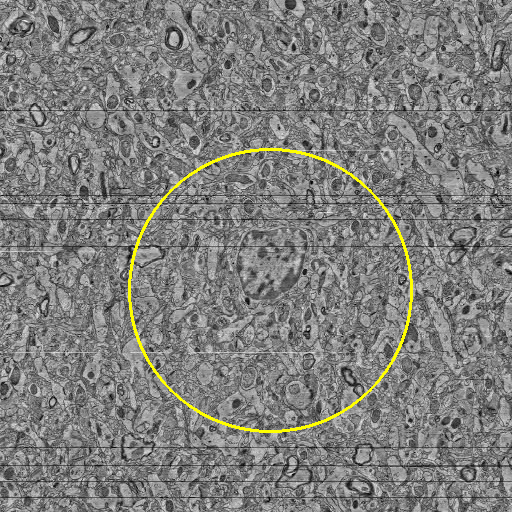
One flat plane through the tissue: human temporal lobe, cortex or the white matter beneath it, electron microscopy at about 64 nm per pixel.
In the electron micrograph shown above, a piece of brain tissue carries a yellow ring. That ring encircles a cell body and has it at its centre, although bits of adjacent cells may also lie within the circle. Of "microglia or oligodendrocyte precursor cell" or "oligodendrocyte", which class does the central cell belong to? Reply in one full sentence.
The cell body at the centre of the yellow ring belongs to a microglial cell or oligodendrocyte precursor cell.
